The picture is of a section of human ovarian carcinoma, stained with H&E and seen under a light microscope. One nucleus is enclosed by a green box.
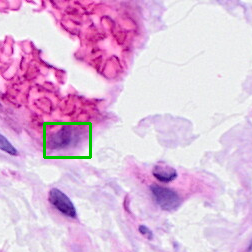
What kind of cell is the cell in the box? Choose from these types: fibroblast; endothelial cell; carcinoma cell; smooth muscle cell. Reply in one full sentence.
So far as cell type goes, the cell in the box is an endothelial cell.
